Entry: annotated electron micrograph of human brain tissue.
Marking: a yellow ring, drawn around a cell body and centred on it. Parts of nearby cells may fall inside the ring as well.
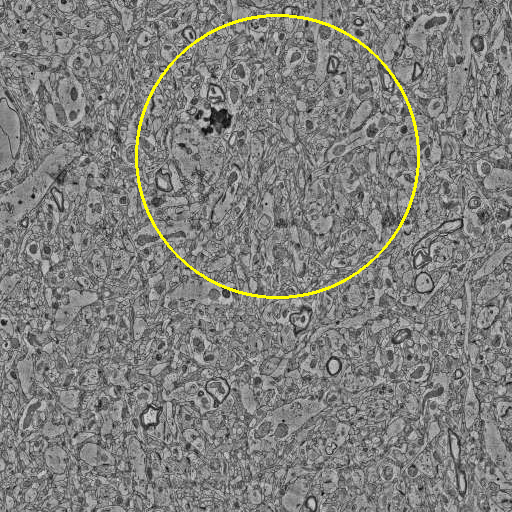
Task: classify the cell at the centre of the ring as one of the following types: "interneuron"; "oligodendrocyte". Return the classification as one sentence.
The marked cell is classified as an oligodendrocyte.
